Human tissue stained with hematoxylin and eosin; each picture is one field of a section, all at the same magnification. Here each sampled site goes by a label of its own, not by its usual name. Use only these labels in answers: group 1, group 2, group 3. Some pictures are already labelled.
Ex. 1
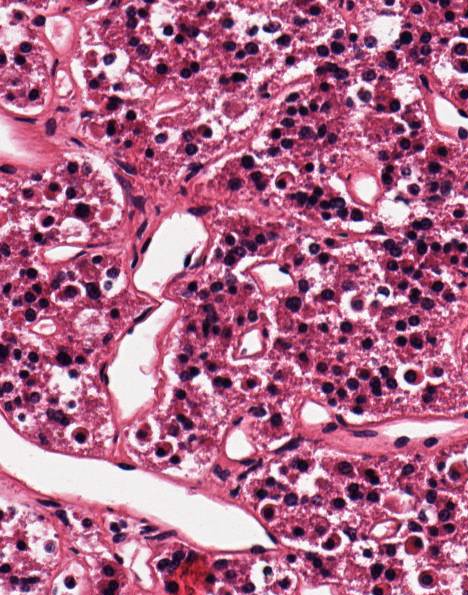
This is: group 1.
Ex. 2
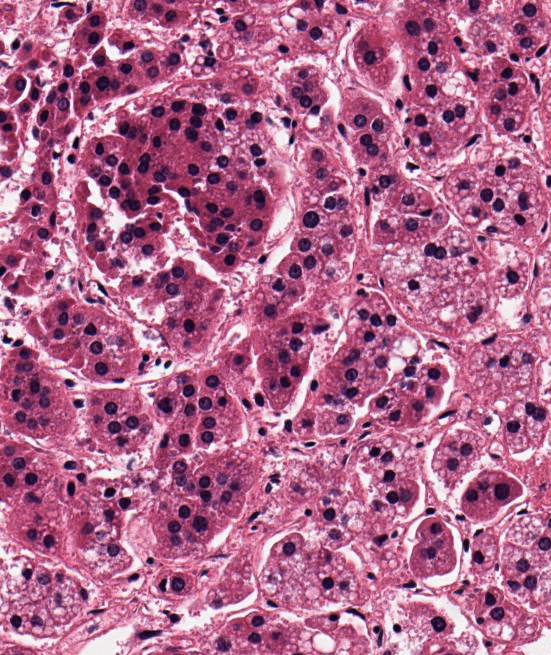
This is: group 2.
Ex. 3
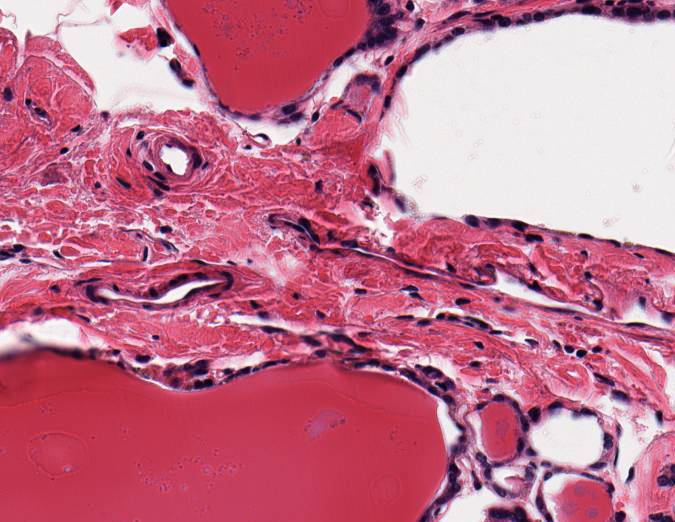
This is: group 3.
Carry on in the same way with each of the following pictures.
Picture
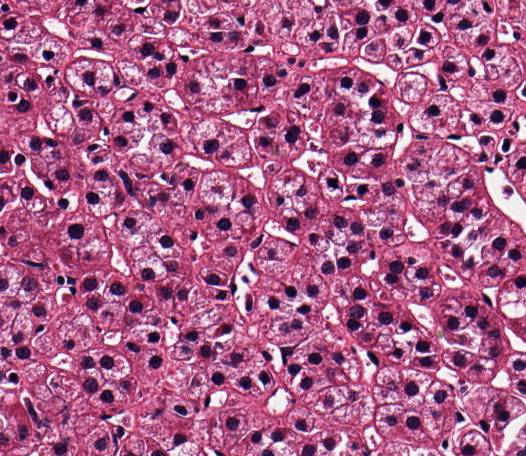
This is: group 2.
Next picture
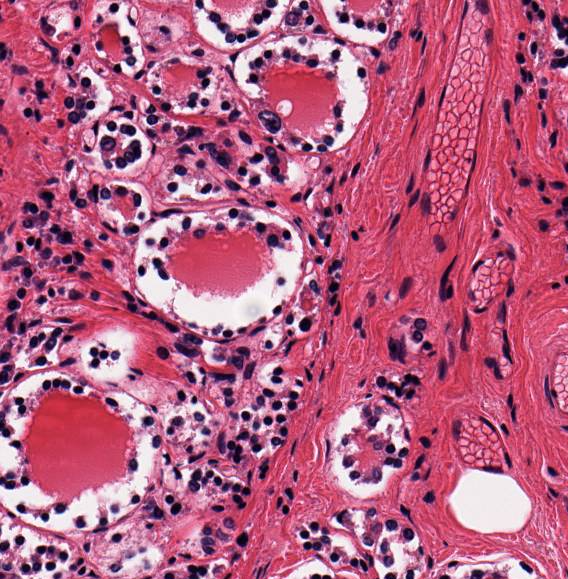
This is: group 3.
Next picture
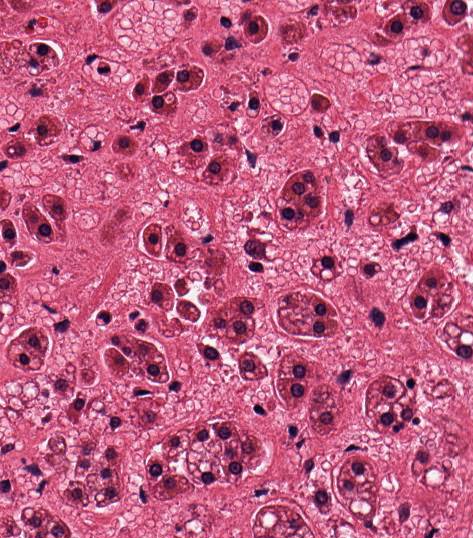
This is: group 2.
